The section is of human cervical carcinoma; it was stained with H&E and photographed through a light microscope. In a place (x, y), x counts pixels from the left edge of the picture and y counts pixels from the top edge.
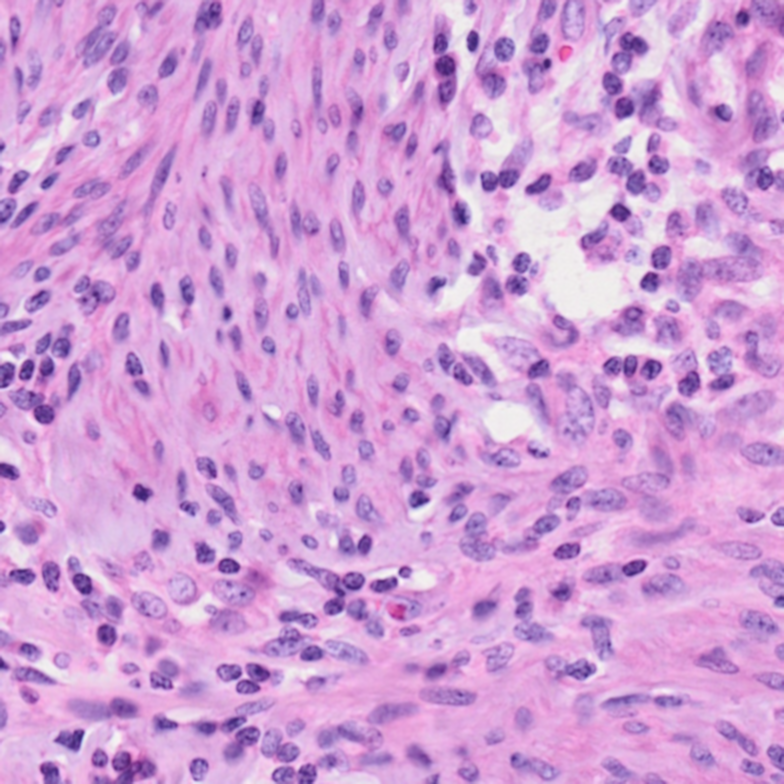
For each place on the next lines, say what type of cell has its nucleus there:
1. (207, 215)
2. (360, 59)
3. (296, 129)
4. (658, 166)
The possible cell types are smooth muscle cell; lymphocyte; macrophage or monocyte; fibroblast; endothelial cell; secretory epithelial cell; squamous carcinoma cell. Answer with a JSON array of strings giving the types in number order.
["smooth muscle cell", "smooth muscle cell", "smooth muscle cell", "lymphocyte"]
